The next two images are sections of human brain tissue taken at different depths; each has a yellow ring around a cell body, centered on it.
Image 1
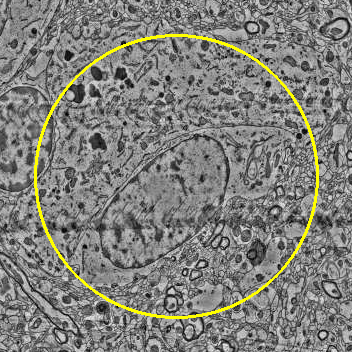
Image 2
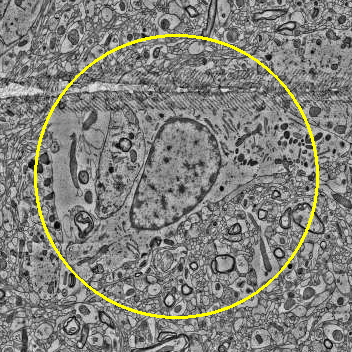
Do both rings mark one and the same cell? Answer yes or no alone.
yes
